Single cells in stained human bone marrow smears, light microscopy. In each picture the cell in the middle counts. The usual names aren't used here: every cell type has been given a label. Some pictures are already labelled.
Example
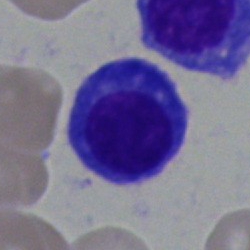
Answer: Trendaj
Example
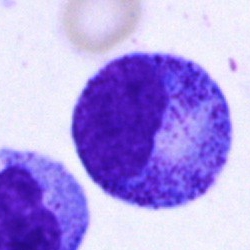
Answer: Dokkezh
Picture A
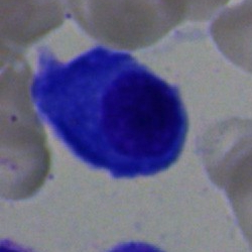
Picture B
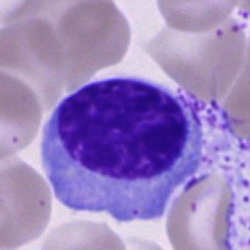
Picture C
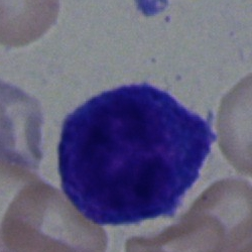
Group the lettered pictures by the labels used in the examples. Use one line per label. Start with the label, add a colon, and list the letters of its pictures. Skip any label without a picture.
Trendaj: A, B
Dokkezh: C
